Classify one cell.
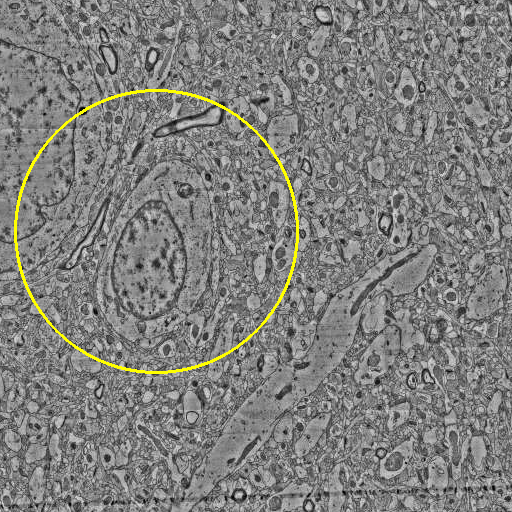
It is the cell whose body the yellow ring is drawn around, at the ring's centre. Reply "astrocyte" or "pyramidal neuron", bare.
pyramidal neuron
